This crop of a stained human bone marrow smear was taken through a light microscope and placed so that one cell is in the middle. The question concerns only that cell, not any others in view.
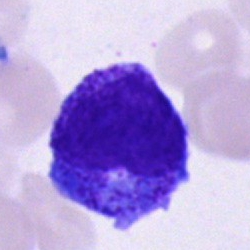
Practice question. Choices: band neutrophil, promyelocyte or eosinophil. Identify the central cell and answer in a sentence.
This crop is built around a promyelocyte at its centre.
